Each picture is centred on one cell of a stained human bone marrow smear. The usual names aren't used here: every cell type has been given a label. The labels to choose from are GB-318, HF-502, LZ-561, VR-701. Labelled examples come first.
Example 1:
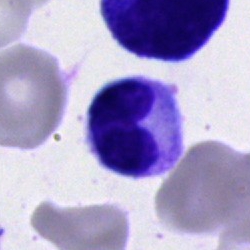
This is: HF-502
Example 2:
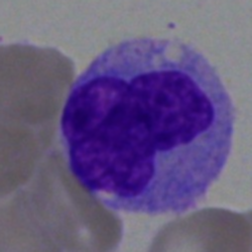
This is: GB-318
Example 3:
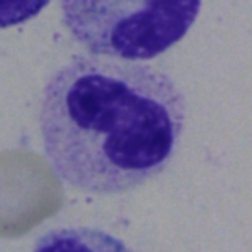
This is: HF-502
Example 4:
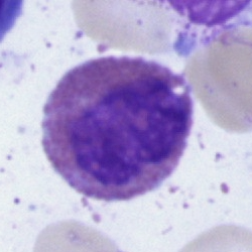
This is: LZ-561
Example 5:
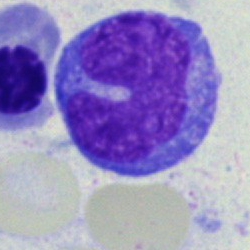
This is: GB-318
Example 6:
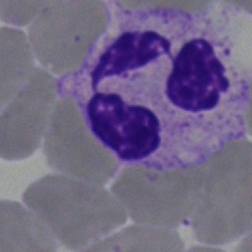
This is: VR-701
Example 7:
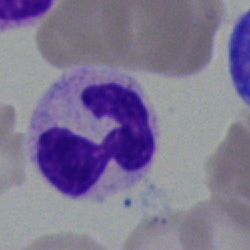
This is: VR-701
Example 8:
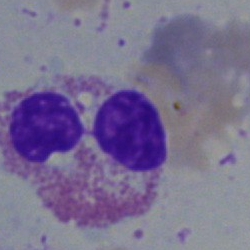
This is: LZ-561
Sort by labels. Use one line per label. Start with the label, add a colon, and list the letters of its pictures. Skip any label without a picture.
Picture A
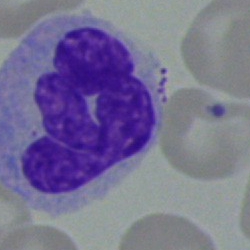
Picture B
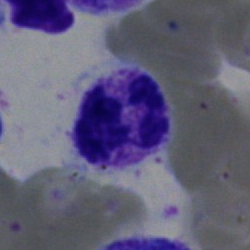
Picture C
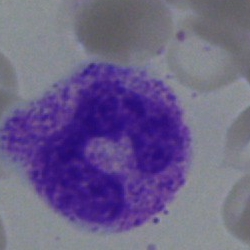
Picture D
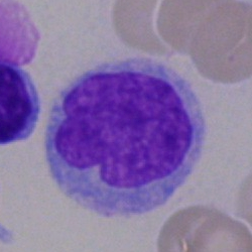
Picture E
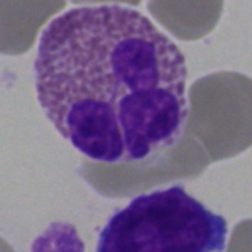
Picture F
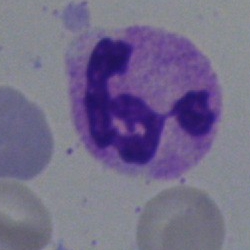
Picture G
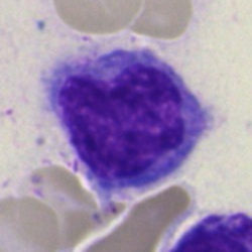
GB-318: A, D, G
HF-502: C
LZ-561: E
VR-701: B, F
